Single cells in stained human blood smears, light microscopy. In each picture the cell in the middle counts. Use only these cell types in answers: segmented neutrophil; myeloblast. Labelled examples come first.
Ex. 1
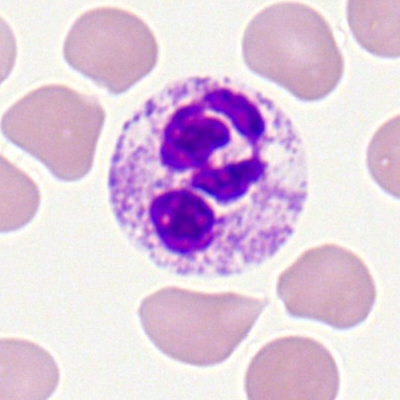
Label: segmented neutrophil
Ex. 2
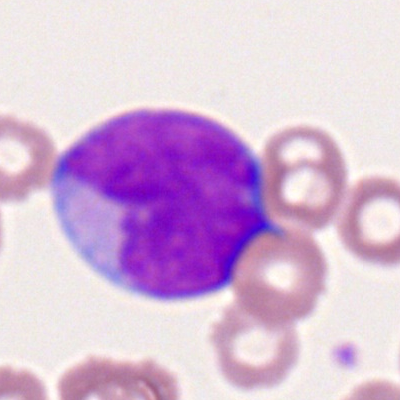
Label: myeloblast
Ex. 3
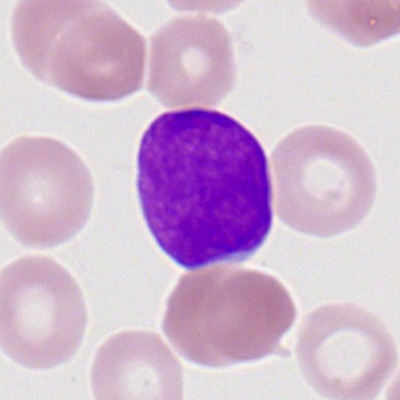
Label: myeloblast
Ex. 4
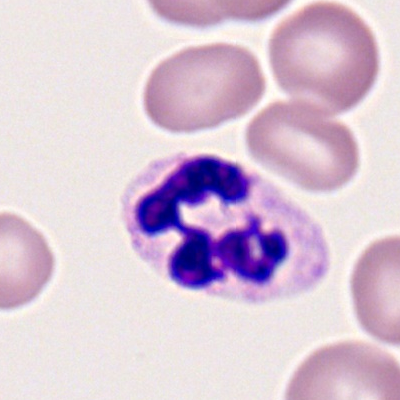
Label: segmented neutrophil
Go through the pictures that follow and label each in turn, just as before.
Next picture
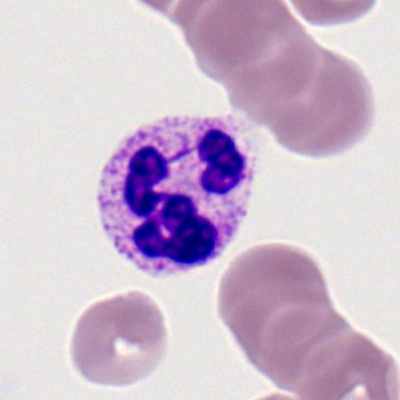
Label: segmented neutrophil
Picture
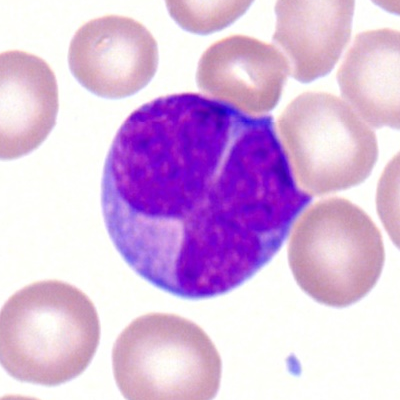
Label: myeloblast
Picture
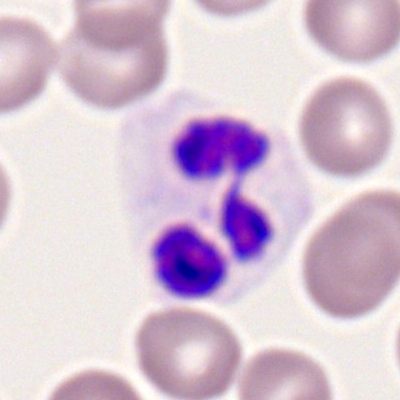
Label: segmented neutrophil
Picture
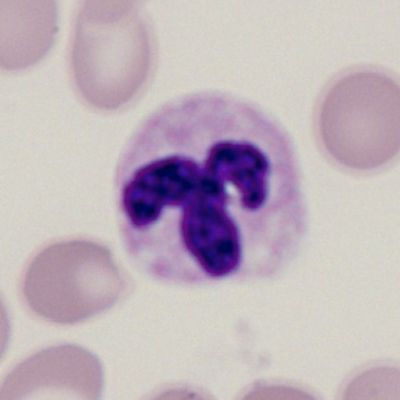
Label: segmented neutrophil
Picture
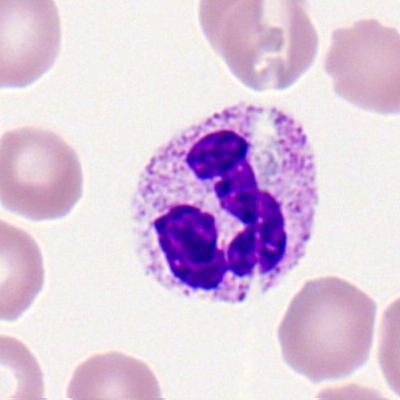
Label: segmented neutrophil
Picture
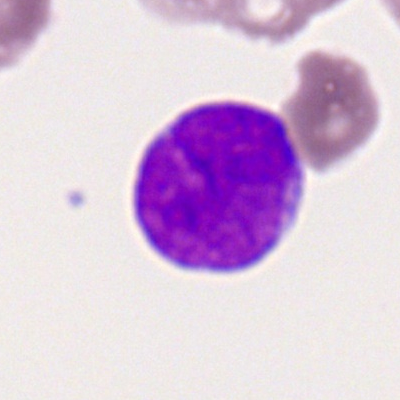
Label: myeloblast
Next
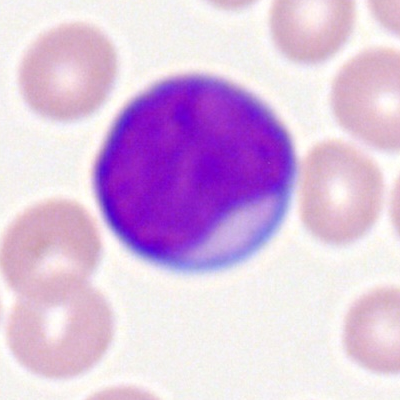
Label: myeloblast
